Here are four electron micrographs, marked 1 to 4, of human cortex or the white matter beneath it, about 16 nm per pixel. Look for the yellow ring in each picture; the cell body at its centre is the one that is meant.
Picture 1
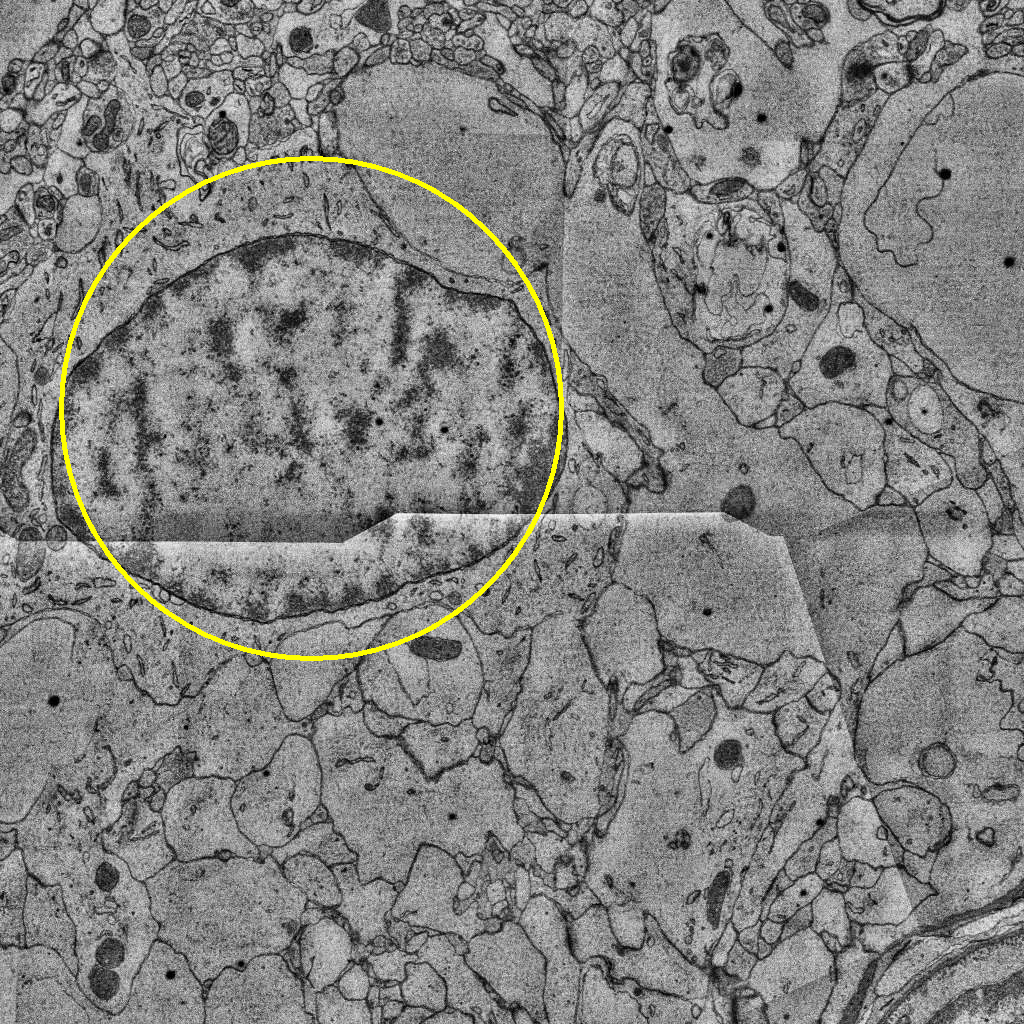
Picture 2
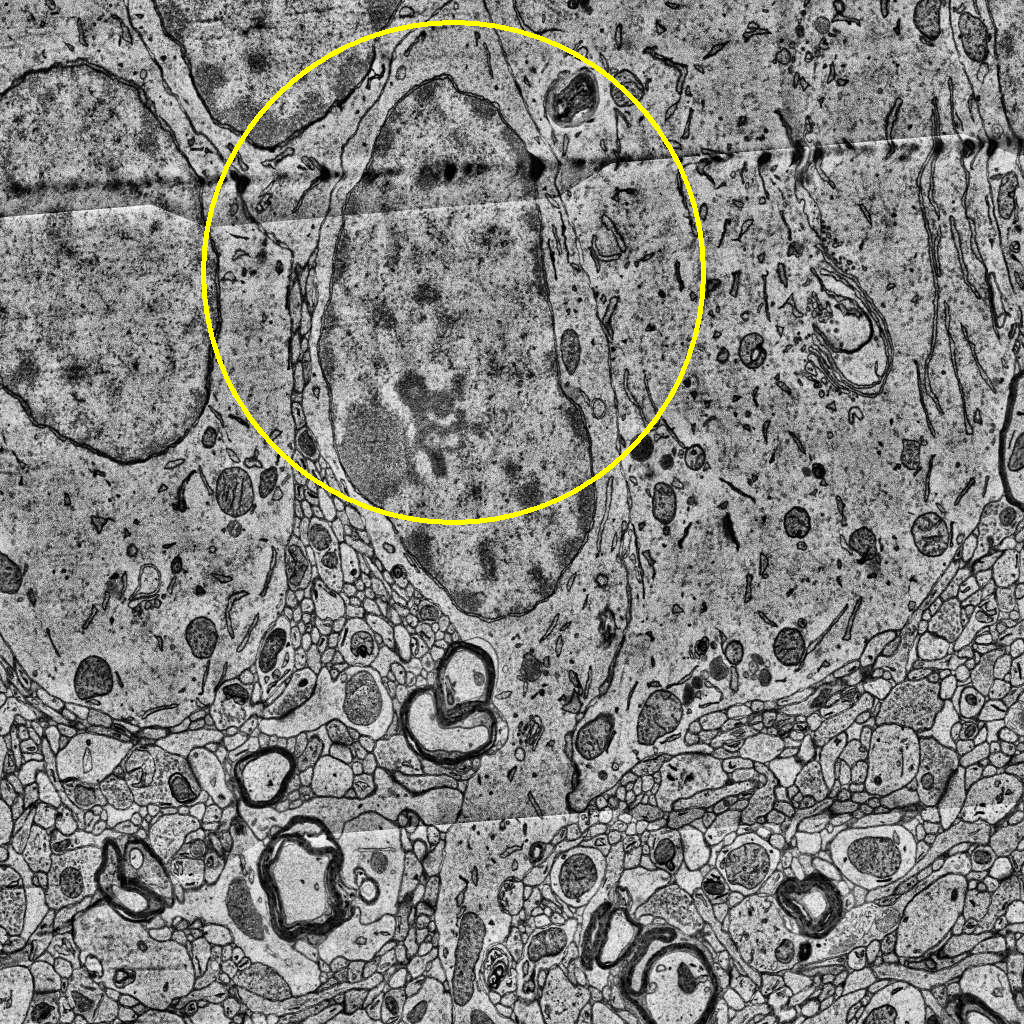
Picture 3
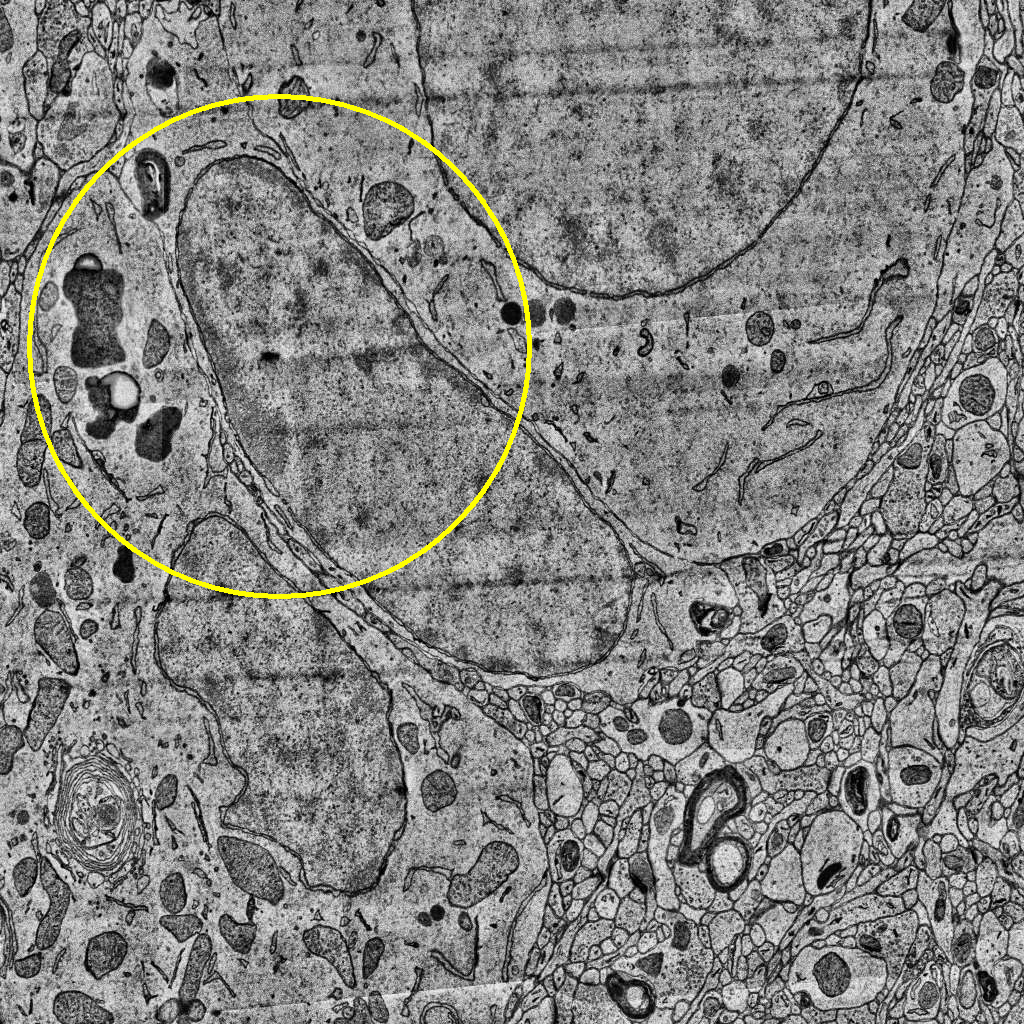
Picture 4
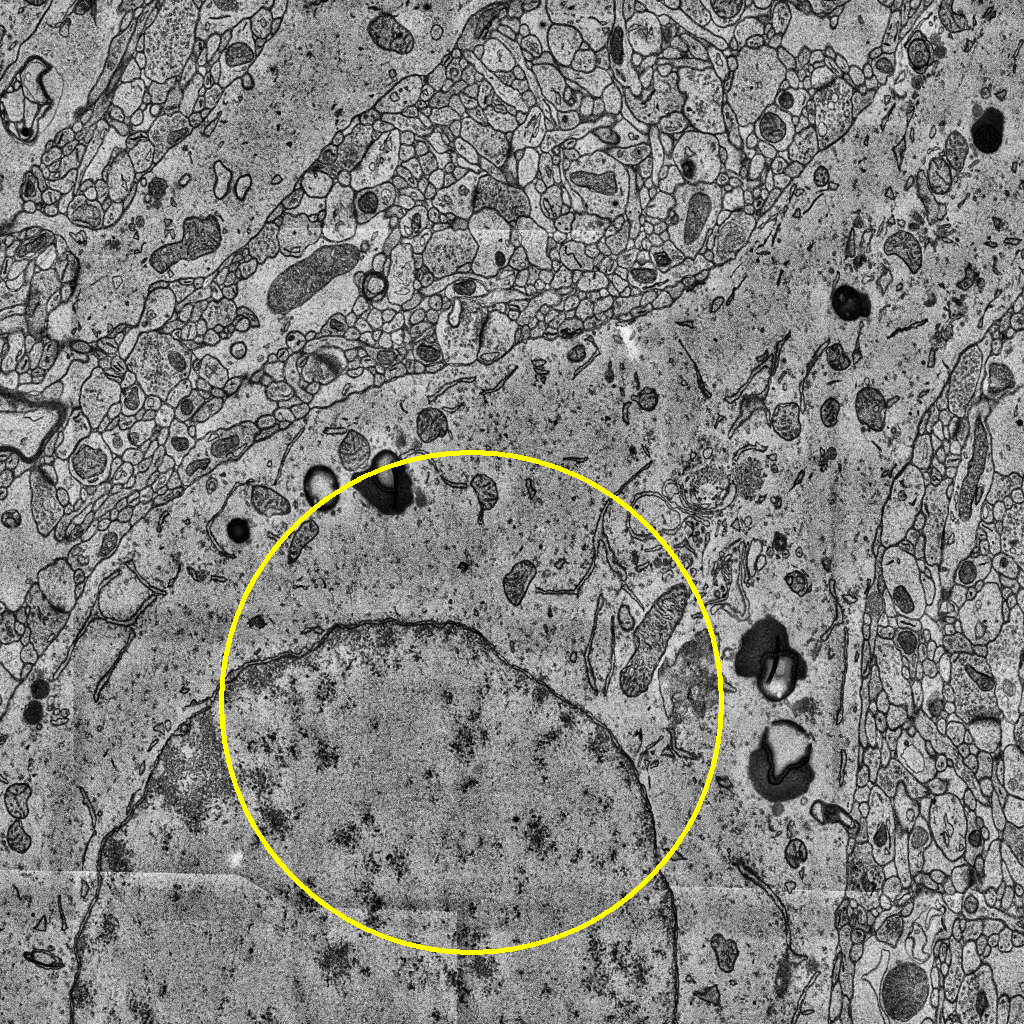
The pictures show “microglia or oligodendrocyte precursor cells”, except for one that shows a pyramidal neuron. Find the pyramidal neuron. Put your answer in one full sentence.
The picture with the pyramidal neuron is 4.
